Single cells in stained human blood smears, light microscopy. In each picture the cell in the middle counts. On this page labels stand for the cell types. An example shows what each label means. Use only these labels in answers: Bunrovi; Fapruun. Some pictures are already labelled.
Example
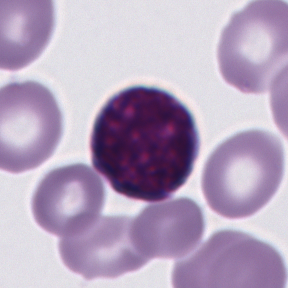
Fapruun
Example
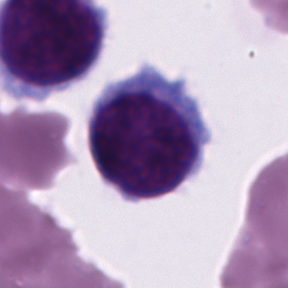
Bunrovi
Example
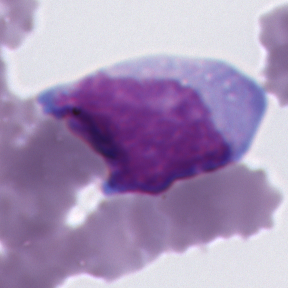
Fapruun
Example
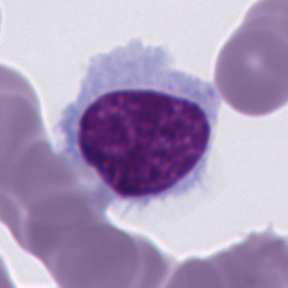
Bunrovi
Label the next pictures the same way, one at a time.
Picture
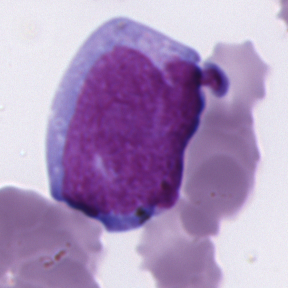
Fapruun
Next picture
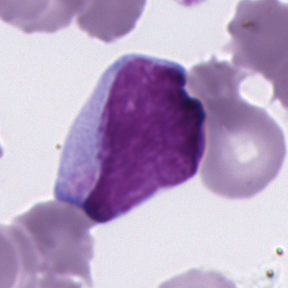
Fapruun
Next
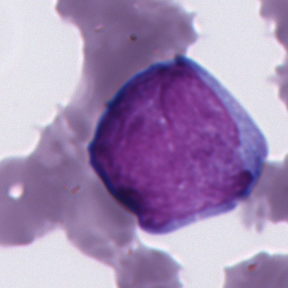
Fapruun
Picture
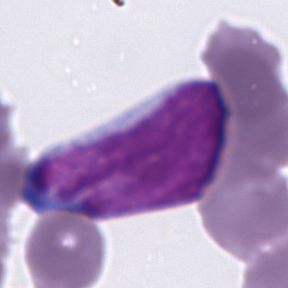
Fapruun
